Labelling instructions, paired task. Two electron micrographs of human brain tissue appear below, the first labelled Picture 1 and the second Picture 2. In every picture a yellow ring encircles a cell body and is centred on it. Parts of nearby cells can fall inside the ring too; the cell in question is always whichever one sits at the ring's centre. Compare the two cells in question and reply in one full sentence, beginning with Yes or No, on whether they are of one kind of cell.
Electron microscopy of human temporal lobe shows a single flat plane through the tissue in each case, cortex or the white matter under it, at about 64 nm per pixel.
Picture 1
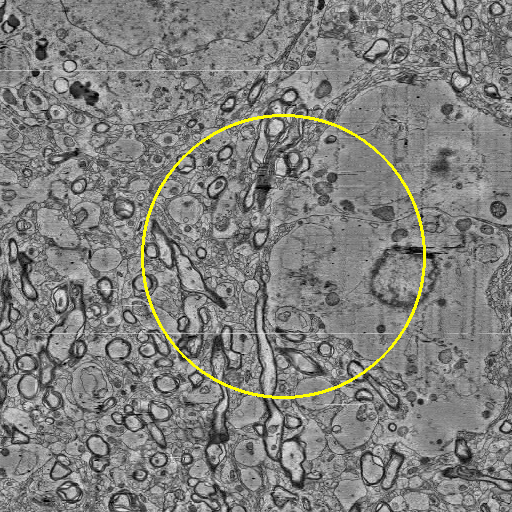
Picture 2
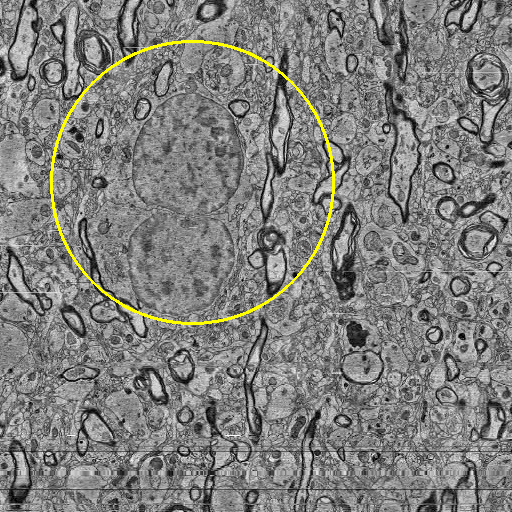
No, the two cells at the ring centres in Picture 1 and Picture 2 are of two kinds.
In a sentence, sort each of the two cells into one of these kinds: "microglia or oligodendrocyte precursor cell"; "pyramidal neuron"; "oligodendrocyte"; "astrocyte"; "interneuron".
The first of the two cells is an astrocyte, and the second is an oligodendrocyte.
